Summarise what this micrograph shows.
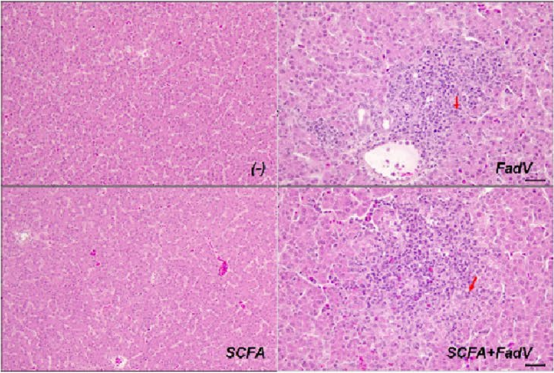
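Liver at low magnification, shown as four fields side by side. In the two left fields the parenchyma is an even pink sheet of hepatocytes with scattered small dark nuclei, crossed by thin pale sinusoids and a few small vessels. The focus gives a blue-purple patch that breaks up the regular hepatocyte pattern.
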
